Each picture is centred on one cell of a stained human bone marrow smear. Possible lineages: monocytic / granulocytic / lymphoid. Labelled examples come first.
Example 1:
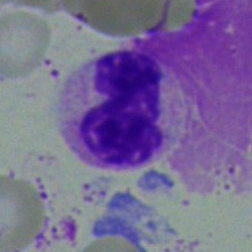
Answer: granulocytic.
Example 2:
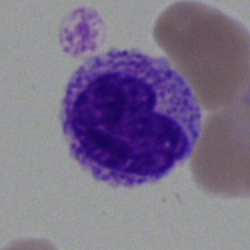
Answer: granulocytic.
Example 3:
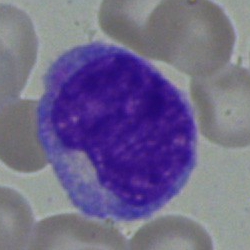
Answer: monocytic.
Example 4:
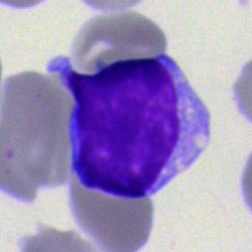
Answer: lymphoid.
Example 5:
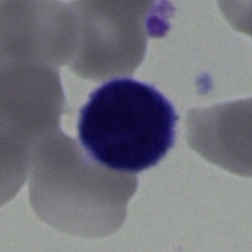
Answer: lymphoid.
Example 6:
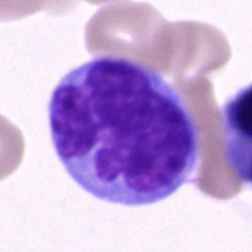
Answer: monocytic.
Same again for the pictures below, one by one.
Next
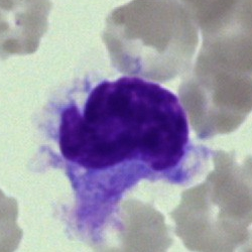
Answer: lymphoid.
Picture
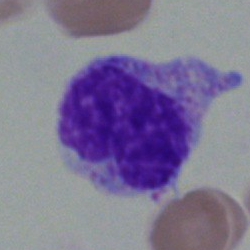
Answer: monocytic.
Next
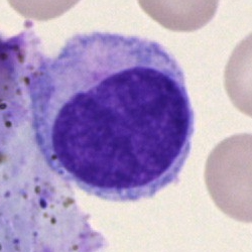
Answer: lymphoid.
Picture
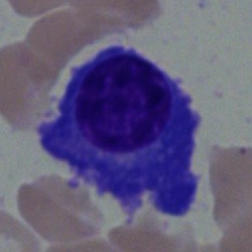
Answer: lymphoid.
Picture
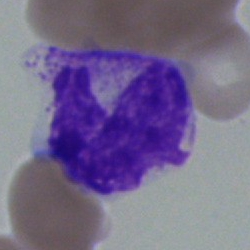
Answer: granulocytic.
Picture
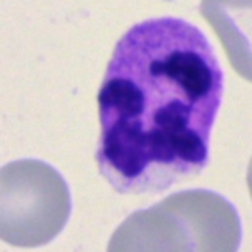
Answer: granulocytic.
